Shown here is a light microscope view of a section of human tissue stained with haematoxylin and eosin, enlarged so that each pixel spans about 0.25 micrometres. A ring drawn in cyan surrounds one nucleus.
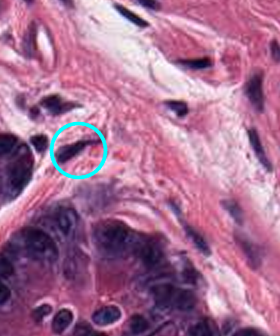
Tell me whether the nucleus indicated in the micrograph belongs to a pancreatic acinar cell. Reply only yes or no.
no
